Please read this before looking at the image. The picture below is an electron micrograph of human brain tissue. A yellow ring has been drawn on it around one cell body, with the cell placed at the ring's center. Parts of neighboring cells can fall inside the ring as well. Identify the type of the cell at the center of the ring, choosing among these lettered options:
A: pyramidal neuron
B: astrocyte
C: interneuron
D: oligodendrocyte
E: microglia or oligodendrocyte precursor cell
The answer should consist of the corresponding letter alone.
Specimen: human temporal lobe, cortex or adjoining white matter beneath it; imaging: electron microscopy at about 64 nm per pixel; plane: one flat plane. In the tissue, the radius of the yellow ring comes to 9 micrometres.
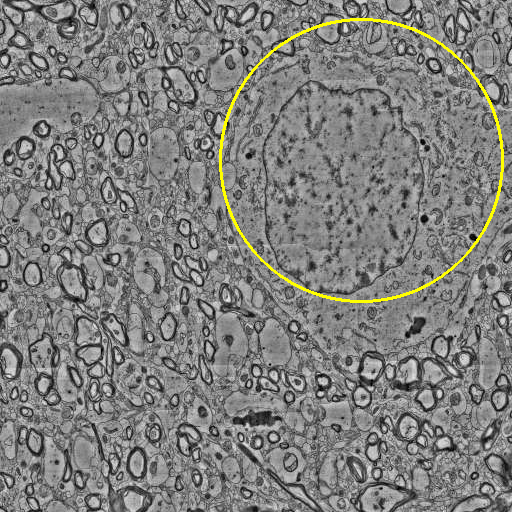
A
